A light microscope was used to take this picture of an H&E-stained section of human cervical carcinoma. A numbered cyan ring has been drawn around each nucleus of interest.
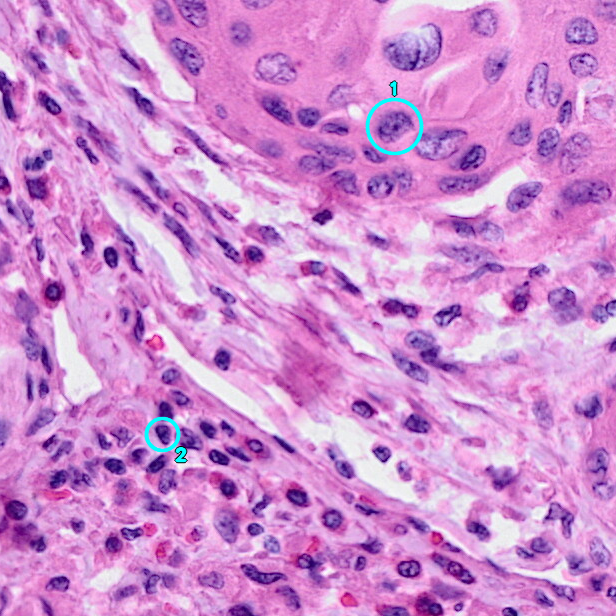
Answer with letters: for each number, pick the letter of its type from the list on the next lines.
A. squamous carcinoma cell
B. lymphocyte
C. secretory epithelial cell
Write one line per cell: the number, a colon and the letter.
1: A
2: B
